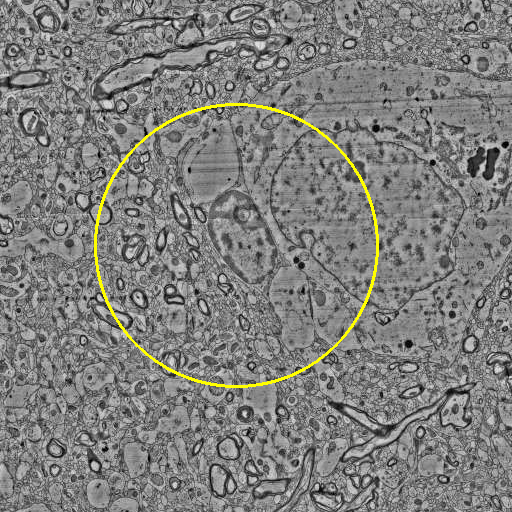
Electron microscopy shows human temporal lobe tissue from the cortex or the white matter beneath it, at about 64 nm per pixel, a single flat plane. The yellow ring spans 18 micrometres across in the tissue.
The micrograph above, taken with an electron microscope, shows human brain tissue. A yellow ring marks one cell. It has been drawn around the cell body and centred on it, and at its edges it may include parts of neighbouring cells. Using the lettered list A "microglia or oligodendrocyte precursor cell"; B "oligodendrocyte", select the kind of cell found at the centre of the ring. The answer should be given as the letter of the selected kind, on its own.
A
